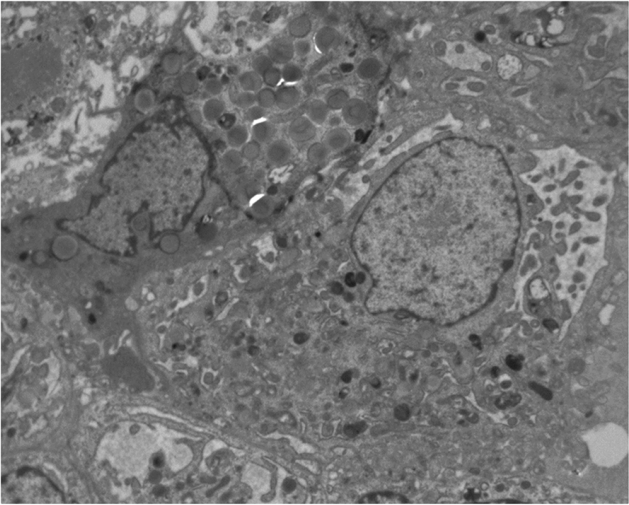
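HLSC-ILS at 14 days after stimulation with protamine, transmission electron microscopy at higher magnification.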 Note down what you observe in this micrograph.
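This electron micrograph shows two adjacent cells, each with a large nucleus outlined by a dark rim of chromatin. The cell at upper left has its cytoplasm crowded with many round granules that vary in size and in how dark their content appears, some with a pale halo around a denser core. The cell on the right contains a large oval nucleus and cytoplasm filled with many small membrane profiles, elongated dark bodies and scattered dense granules. Pale, loosely textured spaces with membranous material lie between and around the cells.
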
